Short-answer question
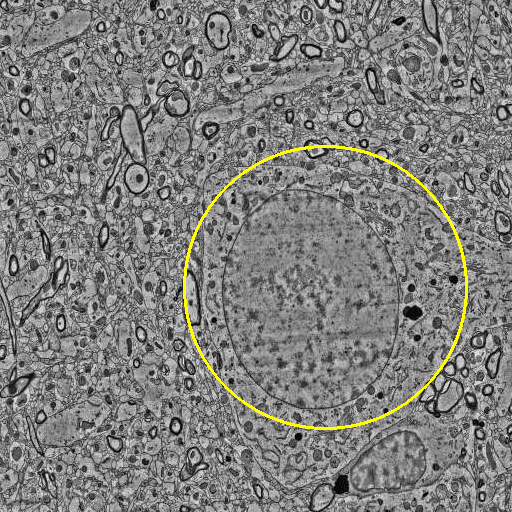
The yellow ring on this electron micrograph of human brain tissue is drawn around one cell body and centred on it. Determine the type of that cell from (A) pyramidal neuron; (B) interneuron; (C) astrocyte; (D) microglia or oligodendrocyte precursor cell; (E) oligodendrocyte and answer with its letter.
A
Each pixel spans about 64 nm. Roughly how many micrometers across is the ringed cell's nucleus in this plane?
Roughly 14 micrometres by 11 micrometres, in this plane.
